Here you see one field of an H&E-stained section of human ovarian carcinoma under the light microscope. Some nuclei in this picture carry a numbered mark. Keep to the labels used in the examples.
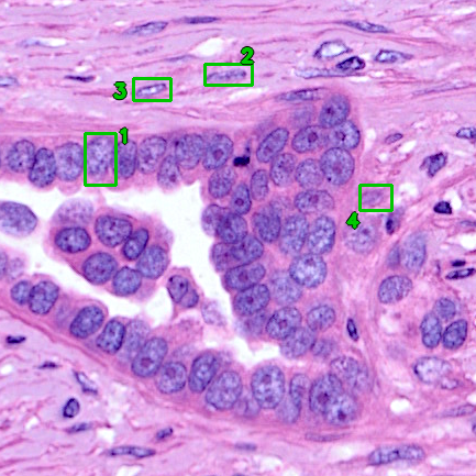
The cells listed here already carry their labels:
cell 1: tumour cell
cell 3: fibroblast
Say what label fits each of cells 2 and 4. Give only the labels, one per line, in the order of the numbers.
fibroblast
fibroblast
